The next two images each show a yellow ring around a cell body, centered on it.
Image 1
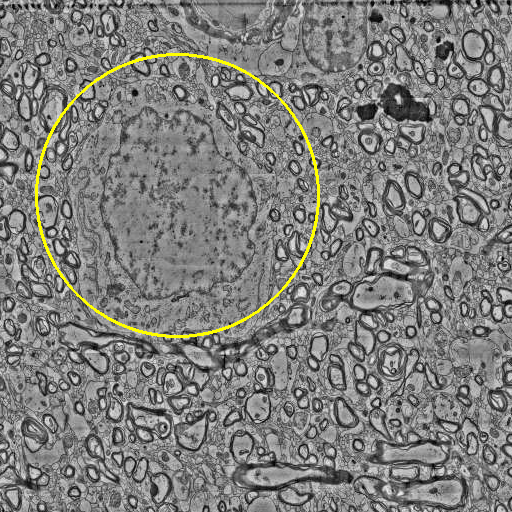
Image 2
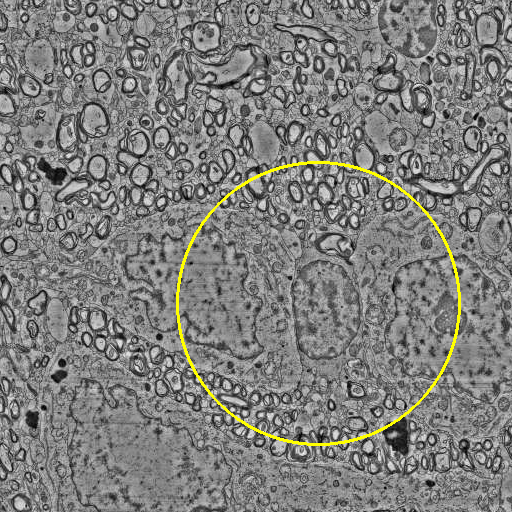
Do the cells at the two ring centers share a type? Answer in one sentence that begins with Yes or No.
No, across the two images the cells at the ring centers are of two types.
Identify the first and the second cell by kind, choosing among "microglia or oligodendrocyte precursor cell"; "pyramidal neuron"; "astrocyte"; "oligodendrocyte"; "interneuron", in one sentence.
The one in the first picture is an interneuron, while the one in the second is an oligodendrocyte.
